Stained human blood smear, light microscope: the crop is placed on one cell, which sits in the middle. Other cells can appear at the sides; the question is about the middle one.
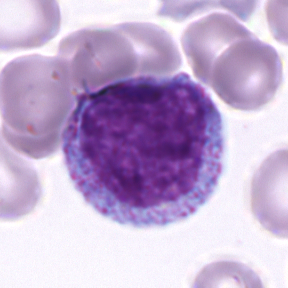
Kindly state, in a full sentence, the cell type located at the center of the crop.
The cell in the middle of the field of view is a promyelocyte.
